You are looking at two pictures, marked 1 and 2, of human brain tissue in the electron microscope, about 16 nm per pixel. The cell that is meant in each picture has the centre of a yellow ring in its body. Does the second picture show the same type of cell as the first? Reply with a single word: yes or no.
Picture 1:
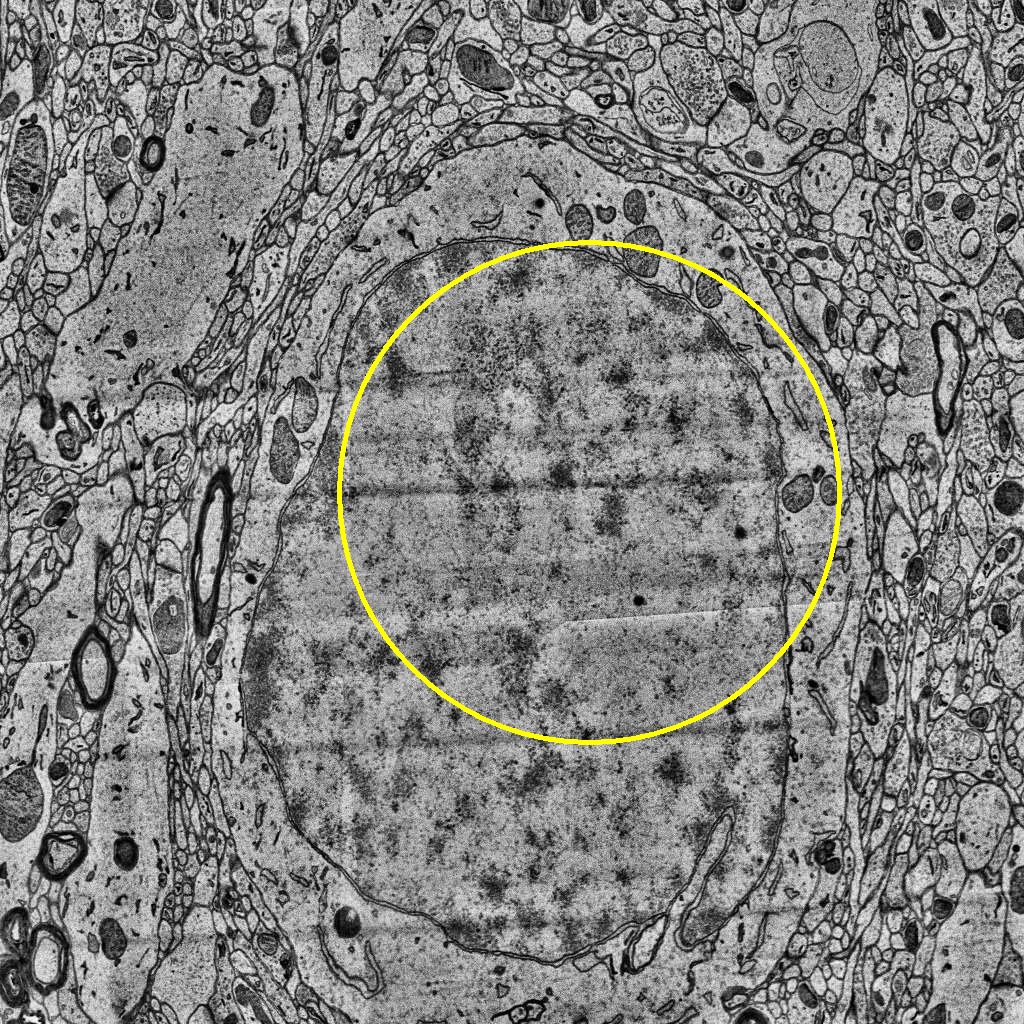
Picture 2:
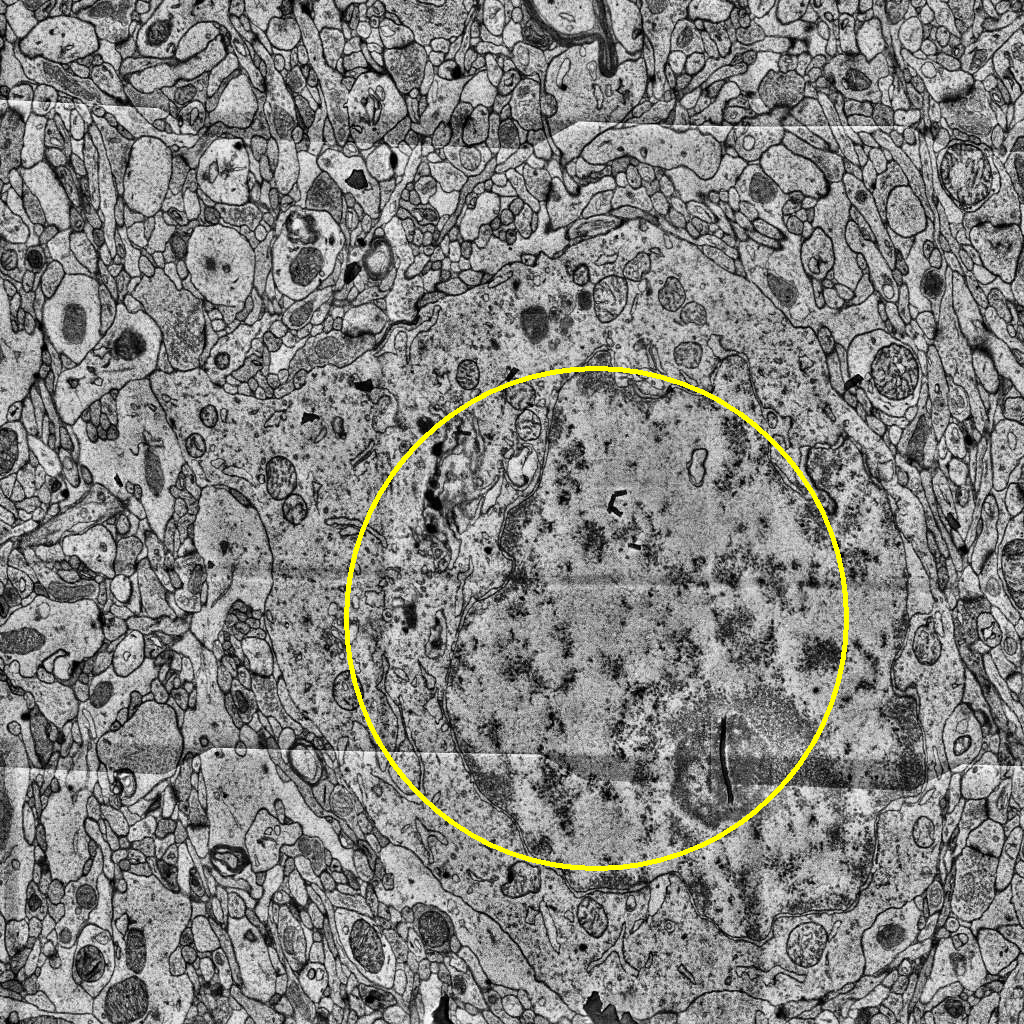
yes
